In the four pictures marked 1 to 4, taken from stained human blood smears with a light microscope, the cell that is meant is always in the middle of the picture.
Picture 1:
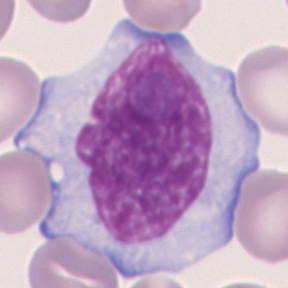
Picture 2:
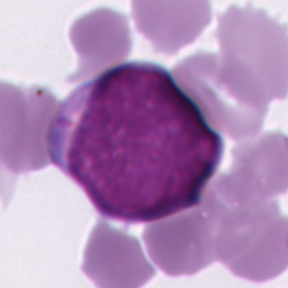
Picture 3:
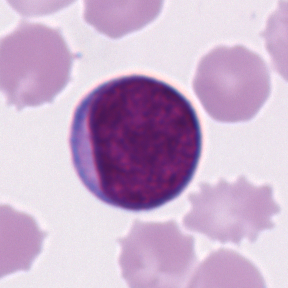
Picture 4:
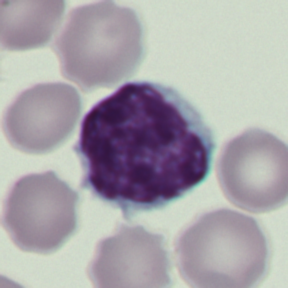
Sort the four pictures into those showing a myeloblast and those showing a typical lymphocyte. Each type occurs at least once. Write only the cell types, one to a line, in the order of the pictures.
myeloblast
myeloblast
myeloblast
typical lymphocyte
